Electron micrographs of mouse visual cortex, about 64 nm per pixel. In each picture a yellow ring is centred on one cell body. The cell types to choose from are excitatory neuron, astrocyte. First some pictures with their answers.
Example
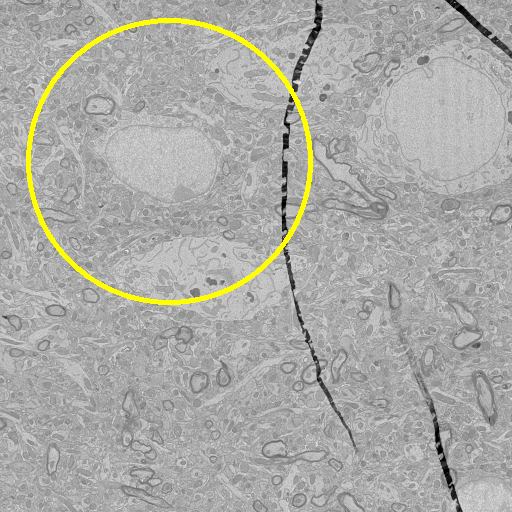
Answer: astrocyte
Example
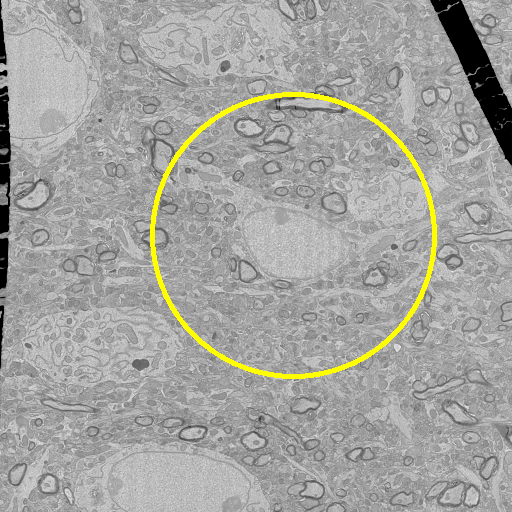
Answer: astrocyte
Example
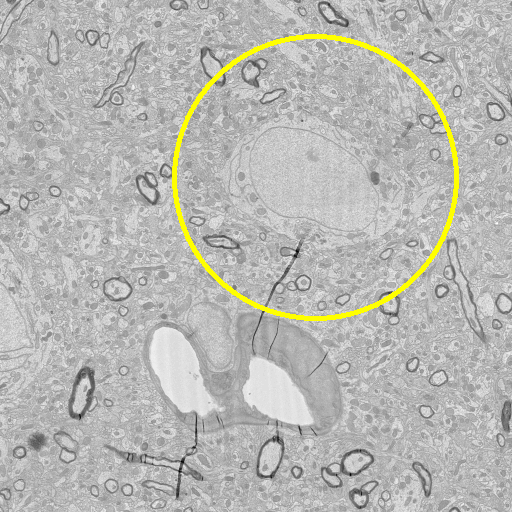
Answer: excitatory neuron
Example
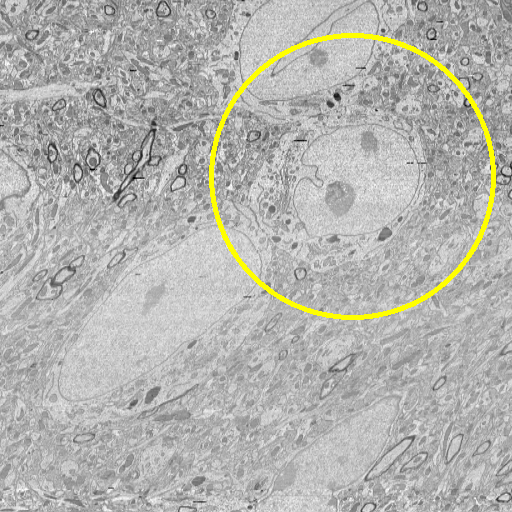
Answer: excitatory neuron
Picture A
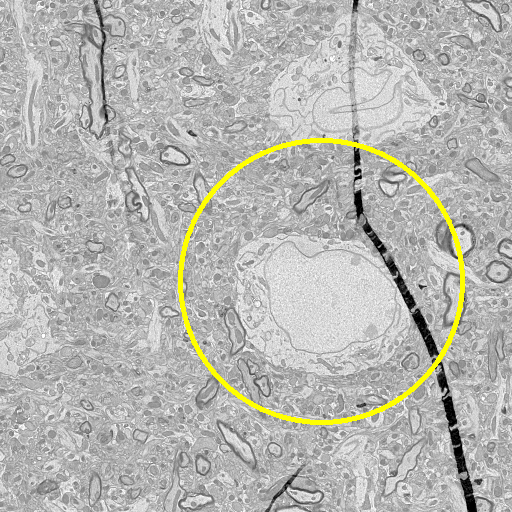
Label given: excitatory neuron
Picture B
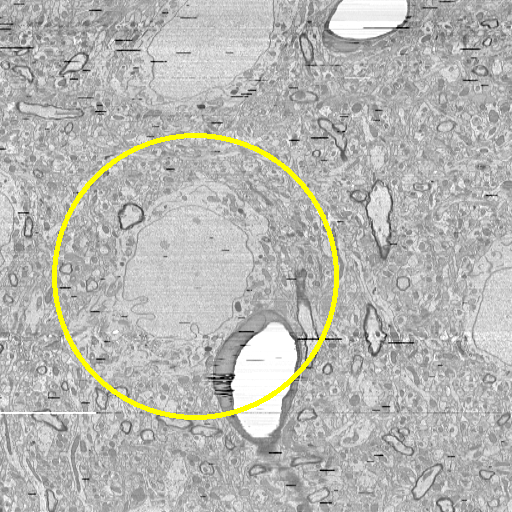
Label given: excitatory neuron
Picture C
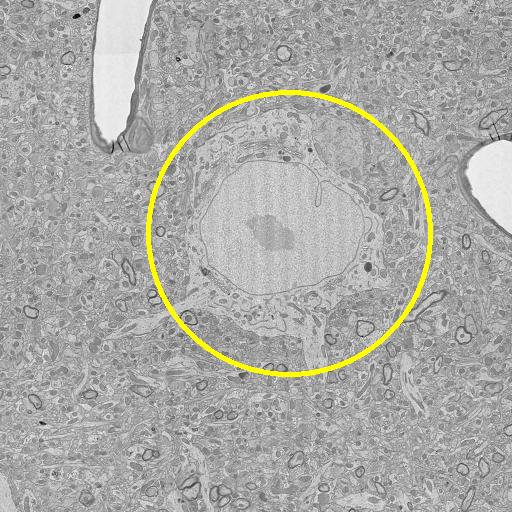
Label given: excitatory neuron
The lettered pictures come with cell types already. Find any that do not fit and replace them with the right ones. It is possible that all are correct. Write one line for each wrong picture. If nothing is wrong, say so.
No label is wrong.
